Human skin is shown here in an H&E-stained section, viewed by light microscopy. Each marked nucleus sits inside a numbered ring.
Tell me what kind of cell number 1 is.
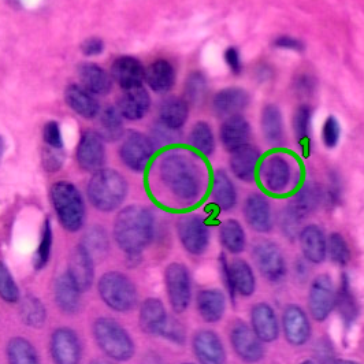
basal keratinocyte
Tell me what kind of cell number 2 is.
suprabasal keratinocyte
